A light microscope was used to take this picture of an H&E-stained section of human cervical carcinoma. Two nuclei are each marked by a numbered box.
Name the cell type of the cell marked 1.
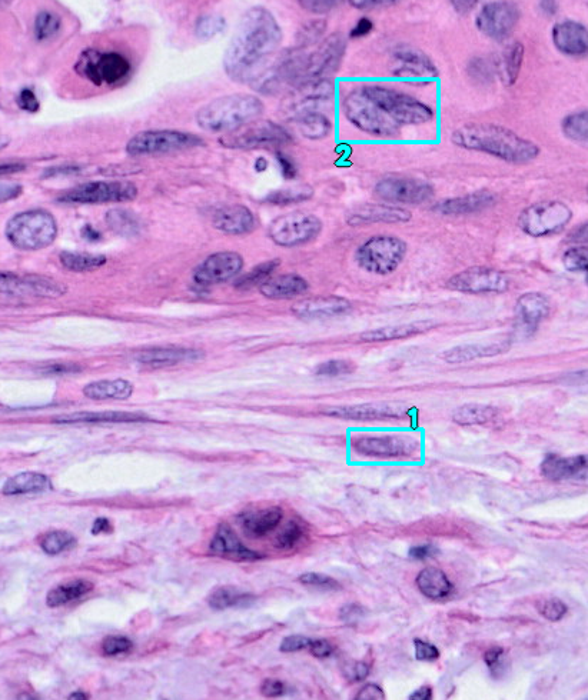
fibroblast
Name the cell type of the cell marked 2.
squamous carcinoma cell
